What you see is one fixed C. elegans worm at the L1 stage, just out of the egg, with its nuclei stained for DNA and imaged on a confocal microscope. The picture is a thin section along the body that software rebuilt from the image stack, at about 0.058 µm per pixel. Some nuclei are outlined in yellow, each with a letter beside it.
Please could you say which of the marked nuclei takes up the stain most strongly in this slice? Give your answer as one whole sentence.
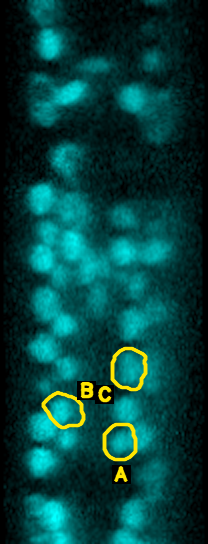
B is the most strongly stained.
